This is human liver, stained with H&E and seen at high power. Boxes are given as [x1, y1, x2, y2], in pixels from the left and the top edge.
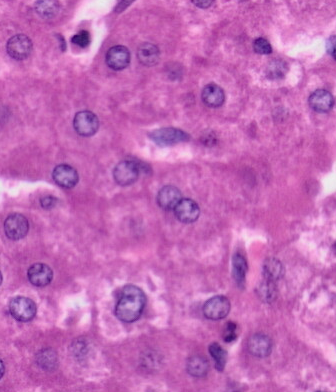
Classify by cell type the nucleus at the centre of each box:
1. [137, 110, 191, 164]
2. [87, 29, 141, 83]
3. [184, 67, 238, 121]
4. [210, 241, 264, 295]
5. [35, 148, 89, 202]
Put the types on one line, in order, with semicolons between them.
Kupffer cell; hepatocyte; hepatocyte; Kupffer cell; hepatocyte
